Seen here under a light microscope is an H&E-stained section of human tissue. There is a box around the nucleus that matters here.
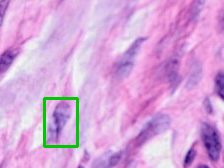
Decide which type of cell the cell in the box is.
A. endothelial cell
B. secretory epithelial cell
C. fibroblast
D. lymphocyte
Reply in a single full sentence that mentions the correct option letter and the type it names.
The accurate option is C, with the cell in the box being a fibroblast.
